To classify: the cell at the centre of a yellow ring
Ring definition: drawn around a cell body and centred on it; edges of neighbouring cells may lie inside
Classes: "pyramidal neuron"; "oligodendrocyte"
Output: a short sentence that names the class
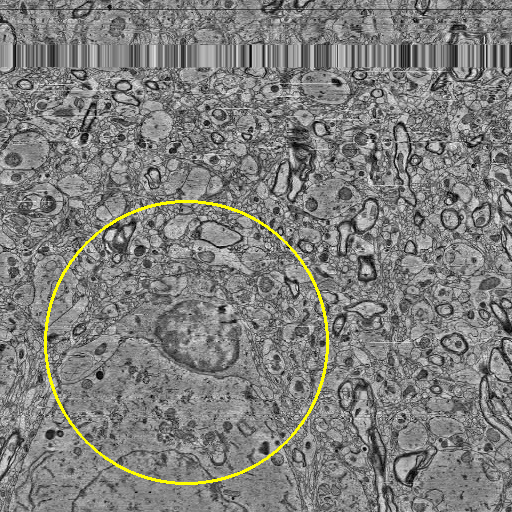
The ringed cell is an oligodendrocyte.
